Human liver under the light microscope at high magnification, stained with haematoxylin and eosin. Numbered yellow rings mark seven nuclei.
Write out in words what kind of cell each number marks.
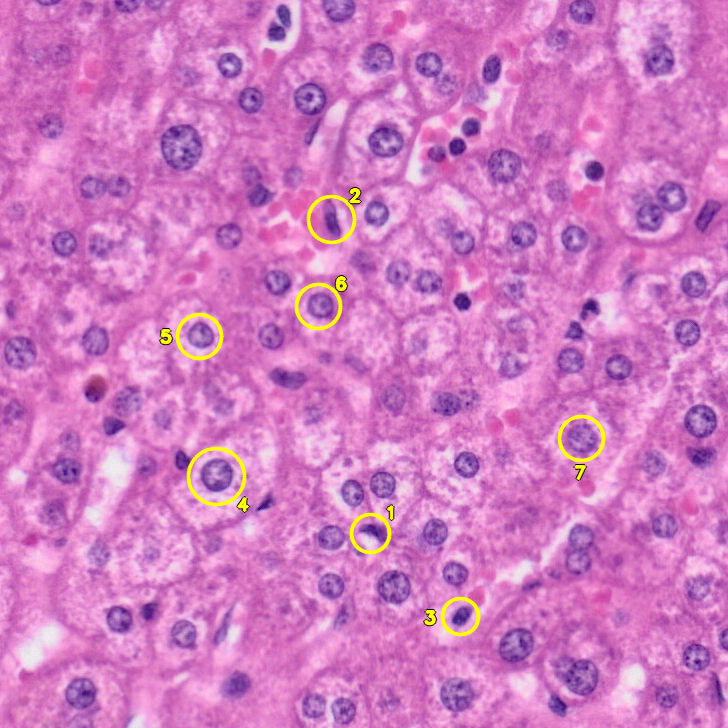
Cell 1 is an endothelial cell. Cell 2 is a Kupffer cell. Cell 3 is a lymphocyte. Cells 4, 5, 6 and 7 are hepatocytes.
